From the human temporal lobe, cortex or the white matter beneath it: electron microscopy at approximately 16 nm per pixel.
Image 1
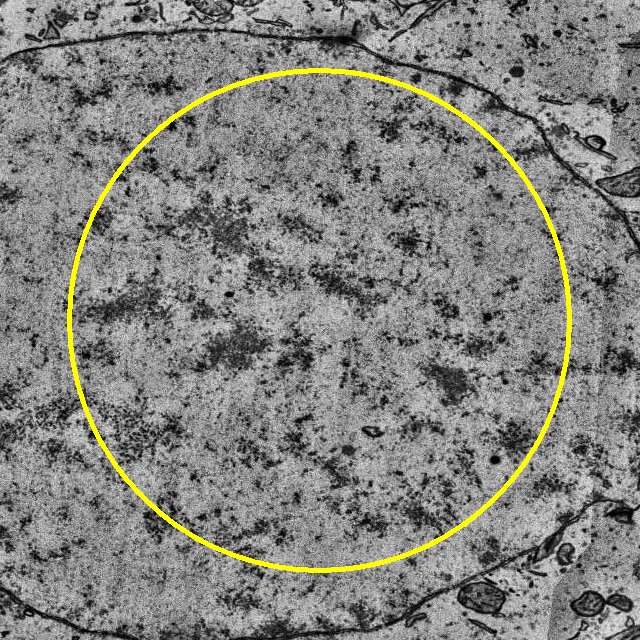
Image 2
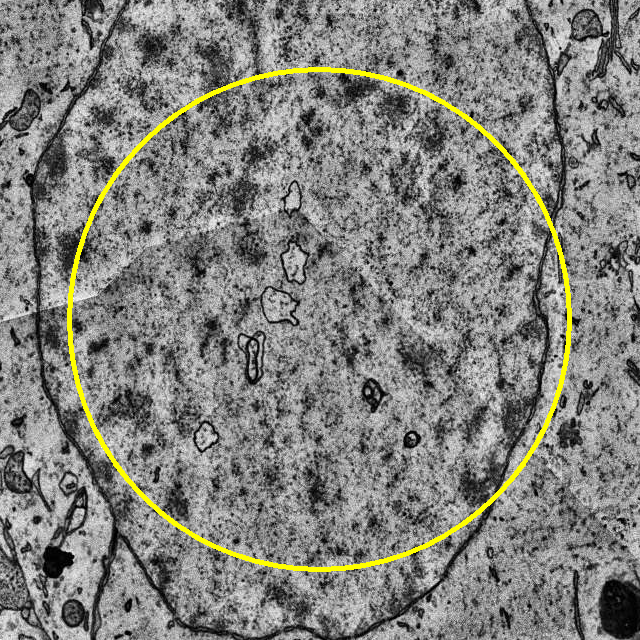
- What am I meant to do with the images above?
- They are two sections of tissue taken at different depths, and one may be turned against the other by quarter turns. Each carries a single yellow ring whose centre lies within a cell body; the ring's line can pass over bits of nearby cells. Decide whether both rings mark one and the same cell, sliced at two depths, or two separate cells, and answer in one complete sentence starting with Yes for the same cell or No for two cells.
Yes, one single cell is under each of the two rings.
